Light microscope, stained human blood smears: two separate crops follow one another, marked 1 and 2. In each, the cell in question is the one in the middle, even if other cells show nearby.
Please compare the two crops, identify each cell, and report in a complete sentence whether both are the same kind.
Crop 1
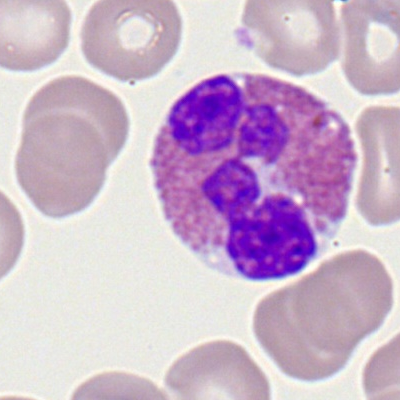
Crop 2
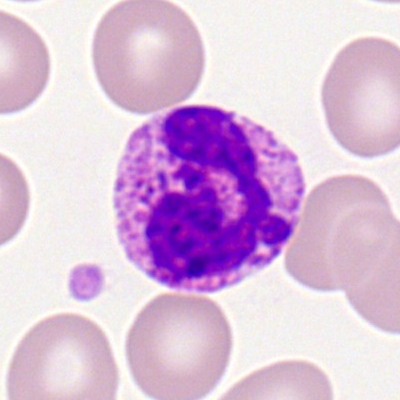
No, crop 1 displays an eosinophil and crop 2 displays a basophil.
